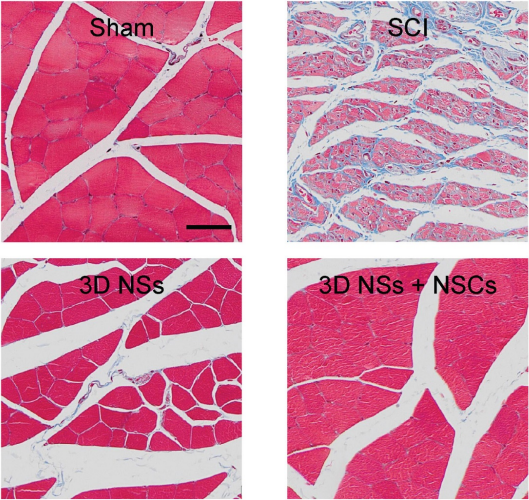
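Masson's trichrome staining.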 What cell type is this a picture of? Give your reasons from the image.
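Muscle fibers. Densely packed polygonal profiles stained red. Profiles are separated by thin bluish septa. Small dark nuclei lie at the edges of the profiles.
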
